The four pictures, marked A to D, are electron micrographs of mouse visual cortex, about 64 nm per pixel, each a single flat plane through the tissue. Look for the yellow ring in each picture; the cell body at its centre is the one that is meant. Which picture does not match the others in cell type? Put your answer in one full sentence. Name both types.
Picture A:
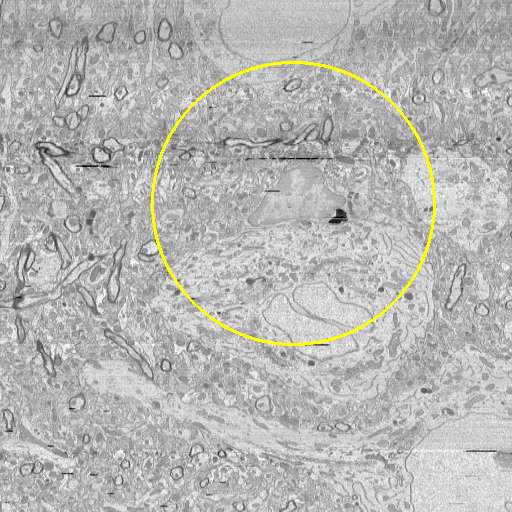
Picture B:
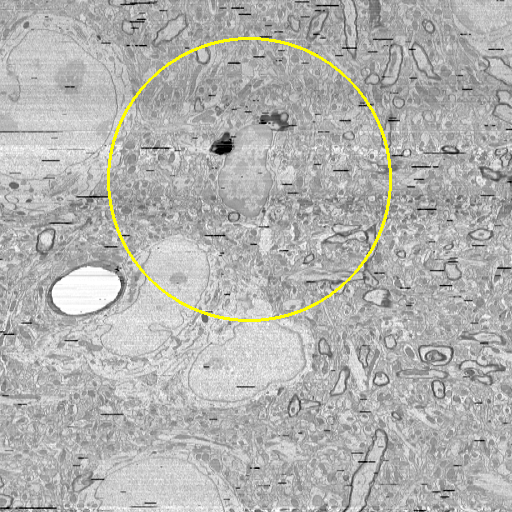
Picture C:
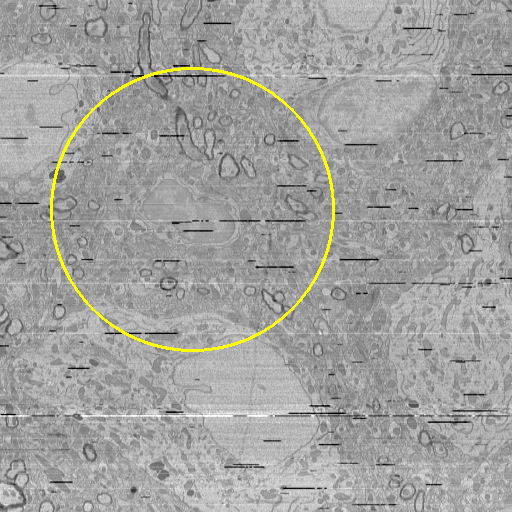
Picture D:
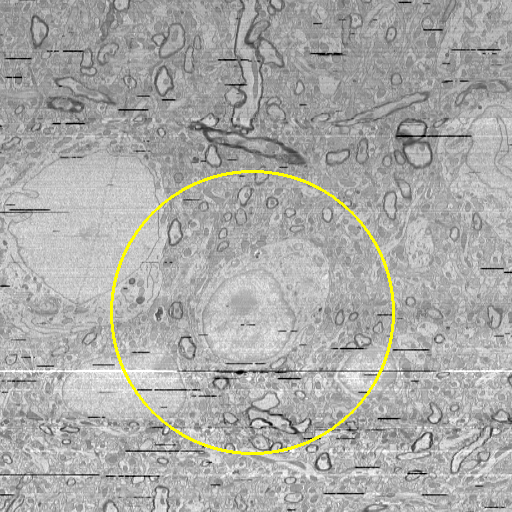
The different one is picture D; it shows an oligodendrocyte, whereas all the others show microglial cells.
